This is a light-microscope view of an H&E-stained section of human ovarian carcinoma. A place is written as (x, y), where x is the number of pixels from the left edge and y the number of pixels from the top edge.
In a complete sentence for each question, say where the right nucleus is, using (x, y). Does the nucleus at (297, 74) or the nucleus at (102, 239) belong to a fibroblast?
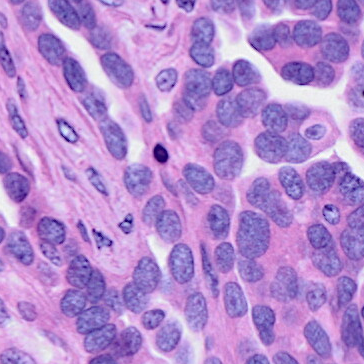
As for which of the two, the nucleus at (102, 239) belongs to a fibroblast.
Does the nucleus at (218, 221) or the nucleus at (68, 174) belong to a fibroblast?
Answering which nucleus it is: the one at (68, 174), belonging to a fibroblast.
